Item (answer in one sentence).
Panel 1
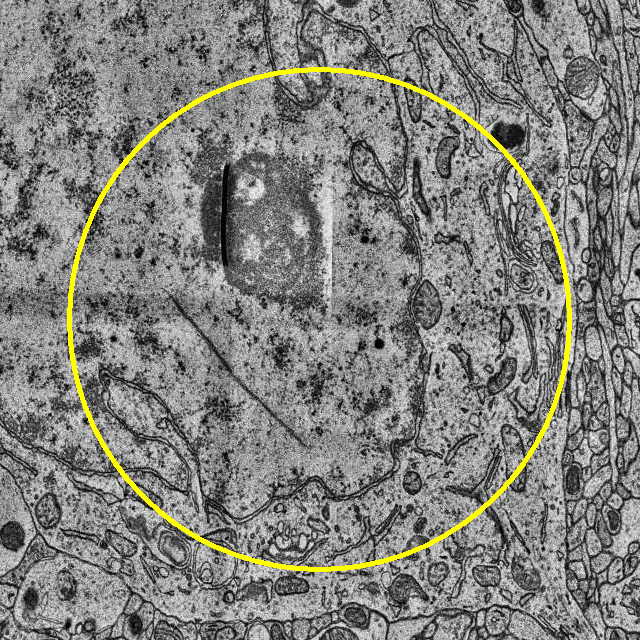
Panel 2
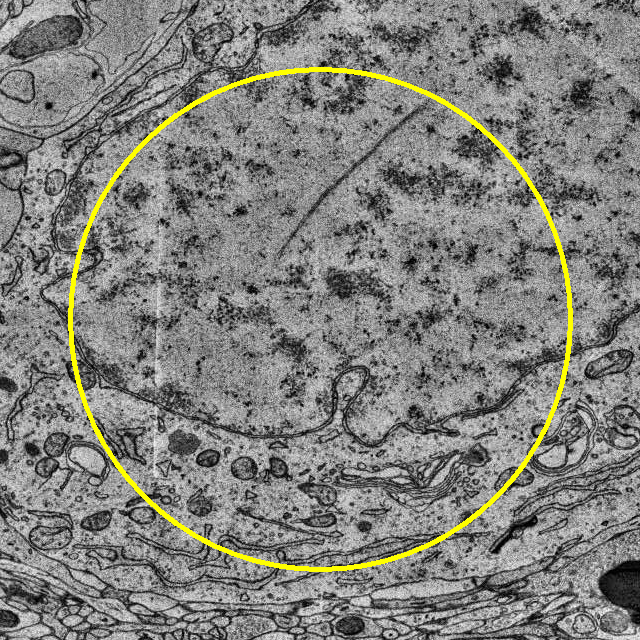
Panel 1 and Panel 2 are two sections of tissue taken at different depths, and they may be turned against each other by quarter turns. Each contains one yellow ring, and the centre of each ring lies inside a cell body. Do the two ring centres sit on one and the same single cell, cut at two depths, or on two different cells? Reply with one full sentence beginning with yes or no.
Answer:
Yes, one cell is ringed in yellow twice over.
